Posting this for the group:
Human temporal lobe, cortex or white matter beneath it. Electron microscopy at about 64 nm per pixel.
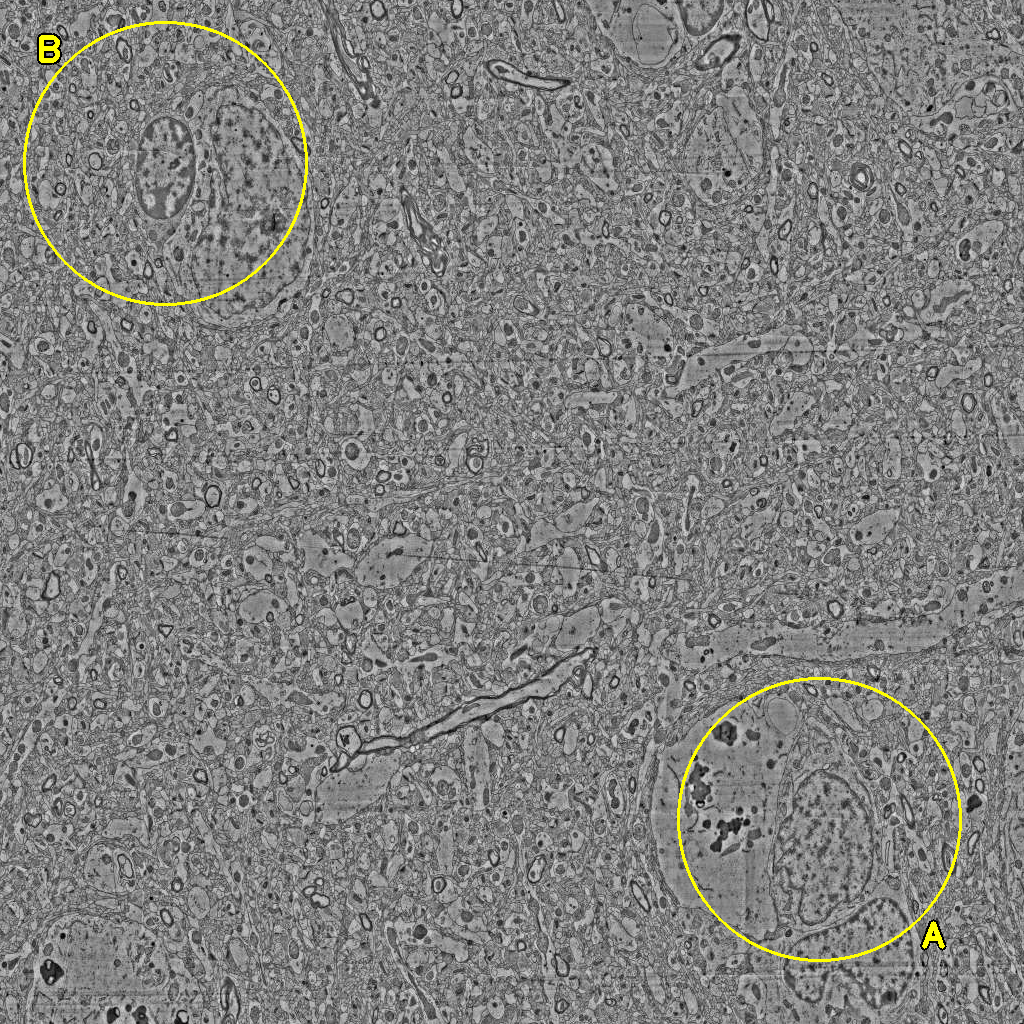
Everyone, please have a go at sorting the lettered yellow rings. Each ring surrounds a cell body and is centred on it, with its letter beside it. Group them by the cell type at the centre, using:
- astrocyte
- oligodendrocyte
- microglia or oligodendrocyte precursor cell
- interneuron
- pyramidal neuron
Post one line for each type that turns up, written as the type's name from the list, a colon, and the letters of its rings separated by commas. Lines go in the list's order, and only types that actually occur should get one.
oligodendrocyte: B
interneuron: A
